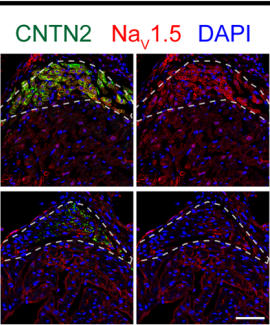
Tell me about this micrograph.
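The cells inside the band are green, with overlap giving yellow in the upper left image, while the myocardium below is stained red. Blue oval nuclei are scattered through both the band and the surrounding muscle.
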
